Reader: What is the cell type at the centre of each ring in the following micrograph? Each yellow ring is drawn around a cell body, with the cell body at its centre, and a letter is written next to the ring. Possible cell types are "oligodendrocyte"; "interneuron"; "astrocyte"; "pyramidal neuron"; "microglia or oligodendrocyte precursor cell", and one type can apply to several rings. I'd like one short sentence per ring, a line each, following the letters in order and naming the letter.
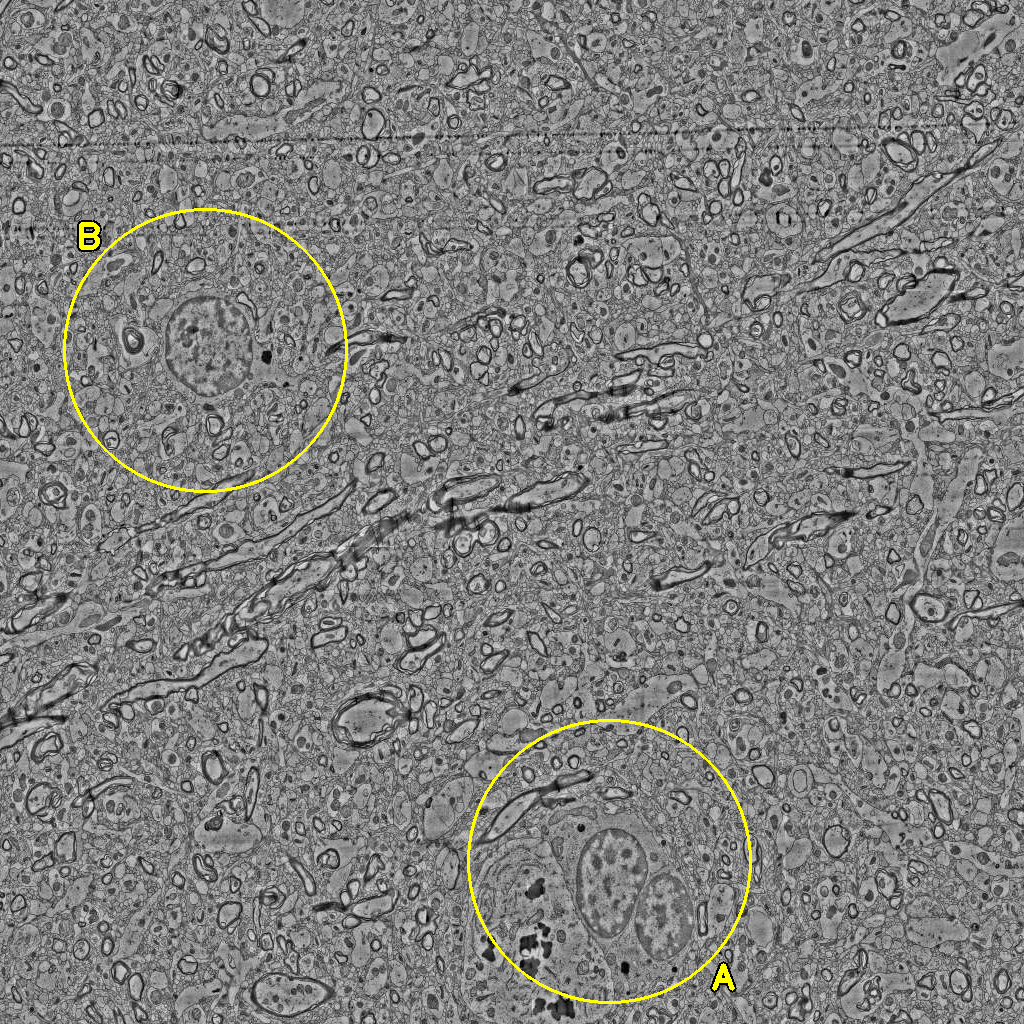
The cell body at the centre of ring A is that of an oligodendrocyte.
The cell body at the centre of ring B is that of an oligodendrocyte.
